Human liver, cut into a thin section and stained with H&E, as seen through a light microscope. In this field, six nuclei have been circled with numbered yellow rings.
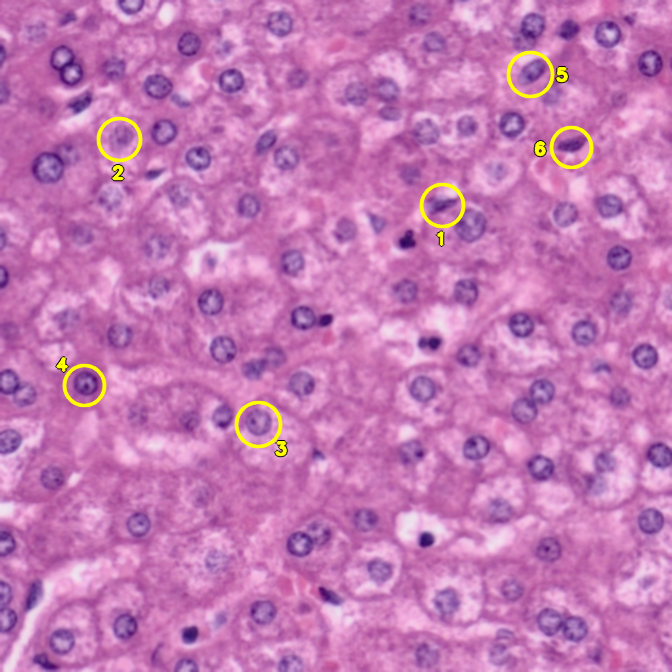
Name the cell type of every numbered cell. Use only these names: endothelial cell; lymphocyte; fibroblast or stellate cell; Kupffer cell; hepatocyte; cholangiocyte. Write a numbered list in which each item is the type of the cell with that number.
1. endothelial cell
2. hepatocyte
3. hepatocyte
4. hepatocyte
5. Kupffer cell
6. fibroblast or stellate cell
